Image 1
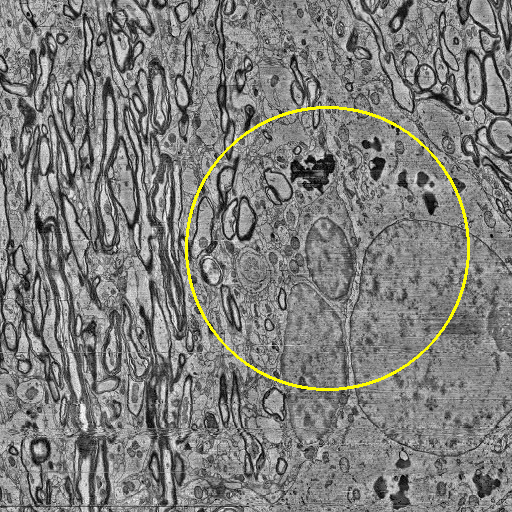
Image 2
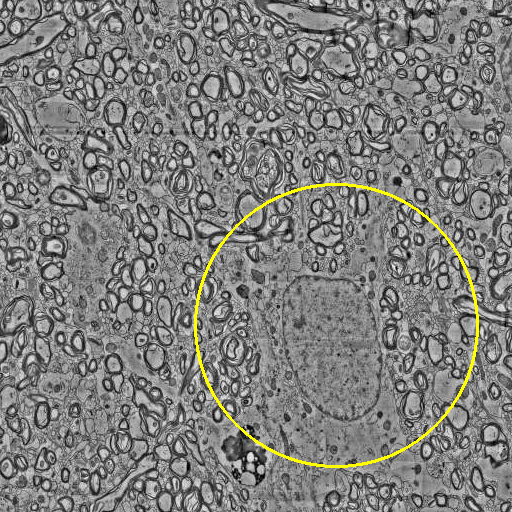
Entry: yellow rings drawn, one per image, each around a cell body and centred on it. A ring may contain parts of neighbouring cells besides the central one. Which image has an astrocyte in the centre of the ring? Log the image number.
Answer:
2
